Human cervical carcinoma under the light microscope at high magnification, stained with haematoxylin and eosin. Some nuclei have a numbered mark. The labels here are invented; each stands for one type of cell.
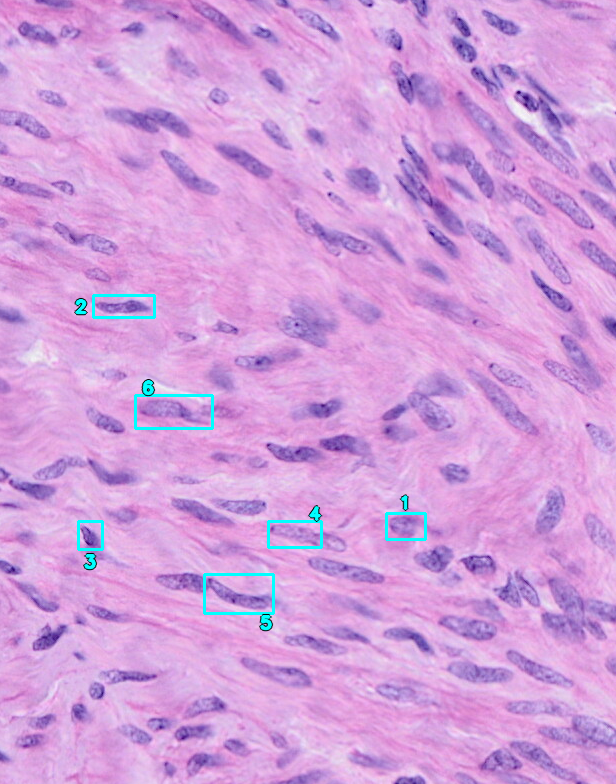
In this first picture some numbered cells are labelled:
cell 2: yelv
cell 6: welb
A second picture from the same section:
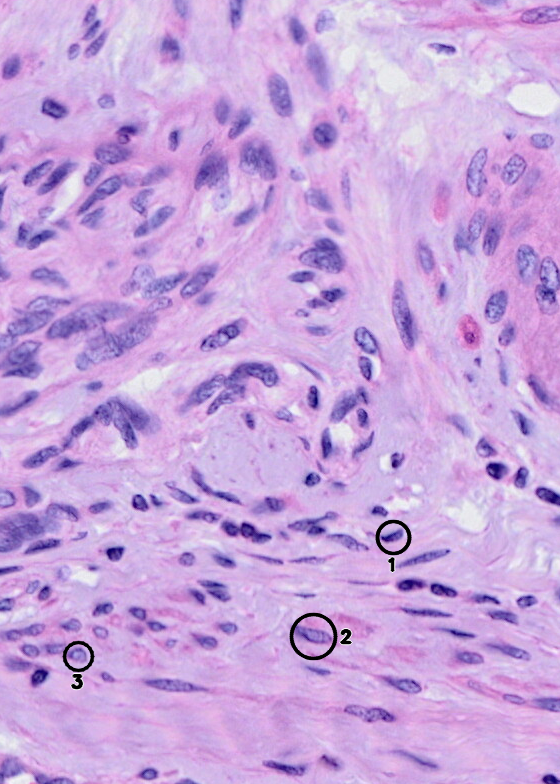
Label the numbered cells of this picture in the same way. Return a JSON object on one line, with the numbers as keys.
{"1": "yelv", "2": "welb", "3": "welb"}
